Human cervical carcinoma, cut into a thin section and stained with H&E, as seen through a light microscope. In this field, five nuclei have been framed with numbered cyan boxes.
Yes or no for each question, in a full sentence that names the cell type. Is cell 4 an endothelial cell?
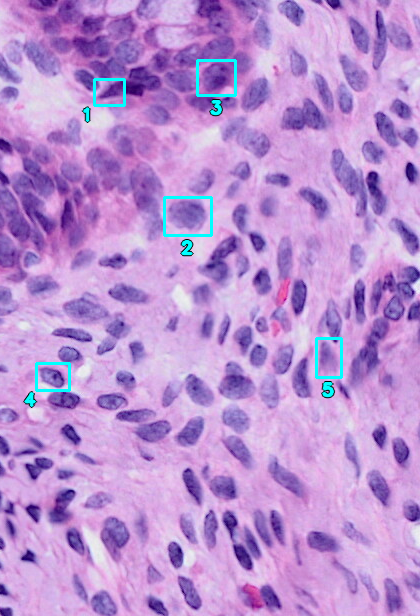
Yes, the numbered cell 4 is an endothelial cell.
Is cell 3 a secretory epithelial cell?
Yes, with respect to number 3, the cell is a secretory epithelial cell.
